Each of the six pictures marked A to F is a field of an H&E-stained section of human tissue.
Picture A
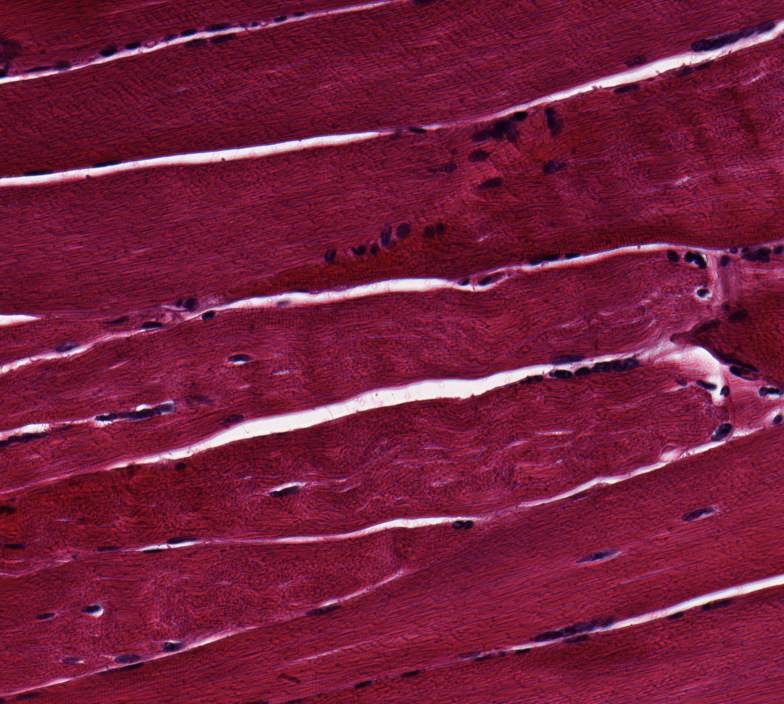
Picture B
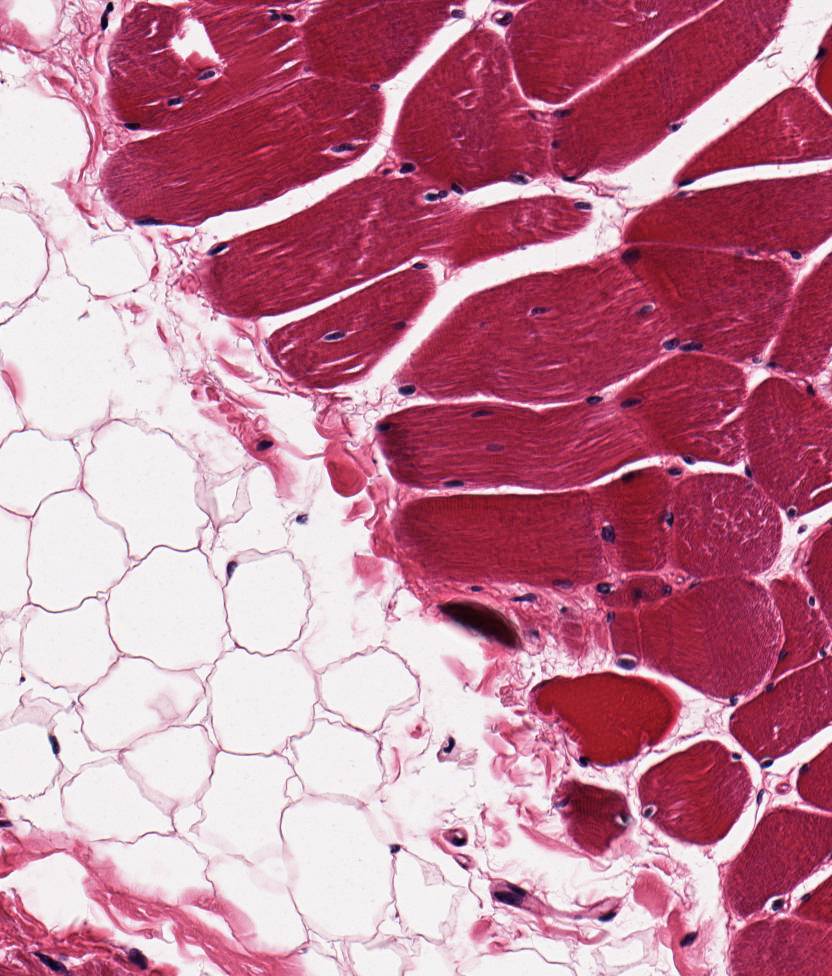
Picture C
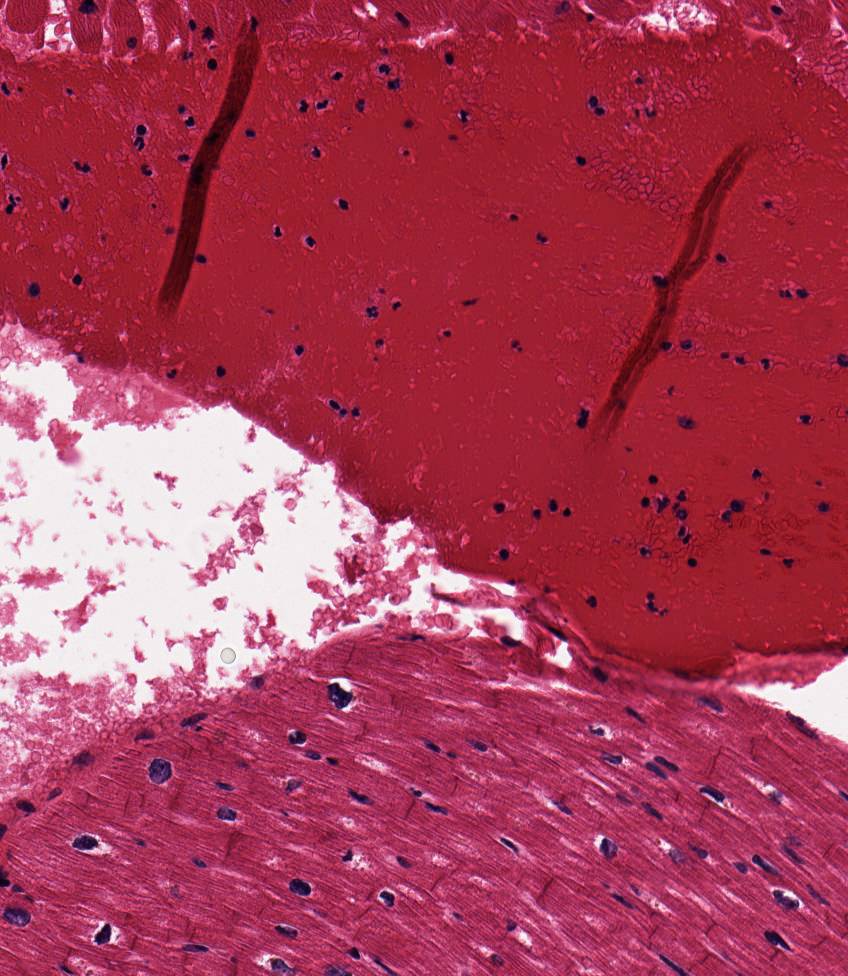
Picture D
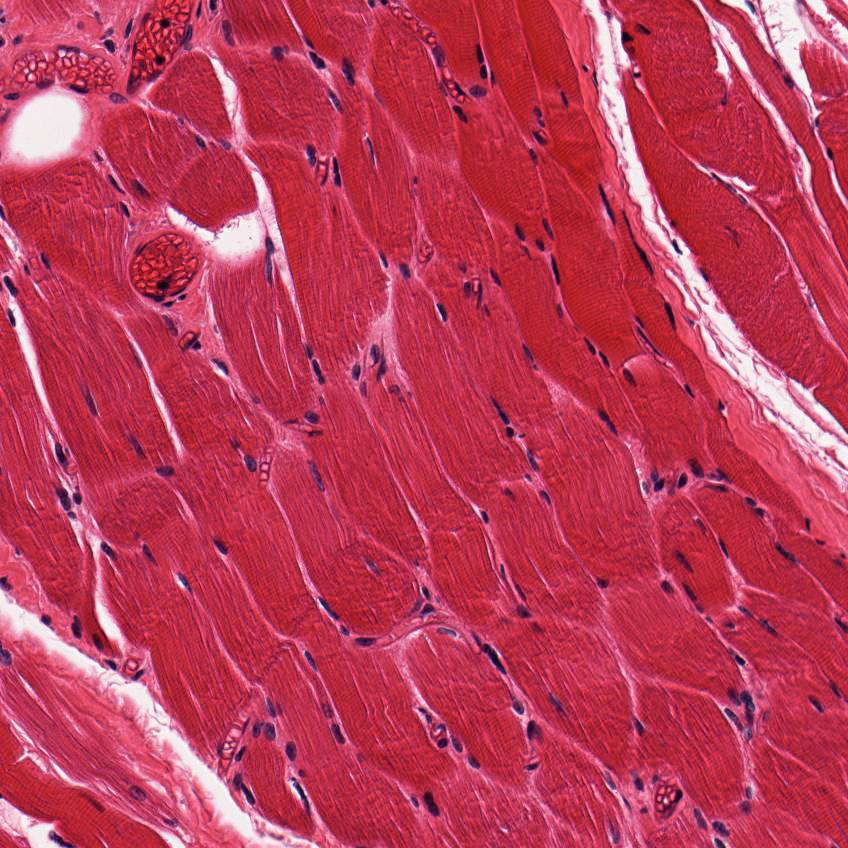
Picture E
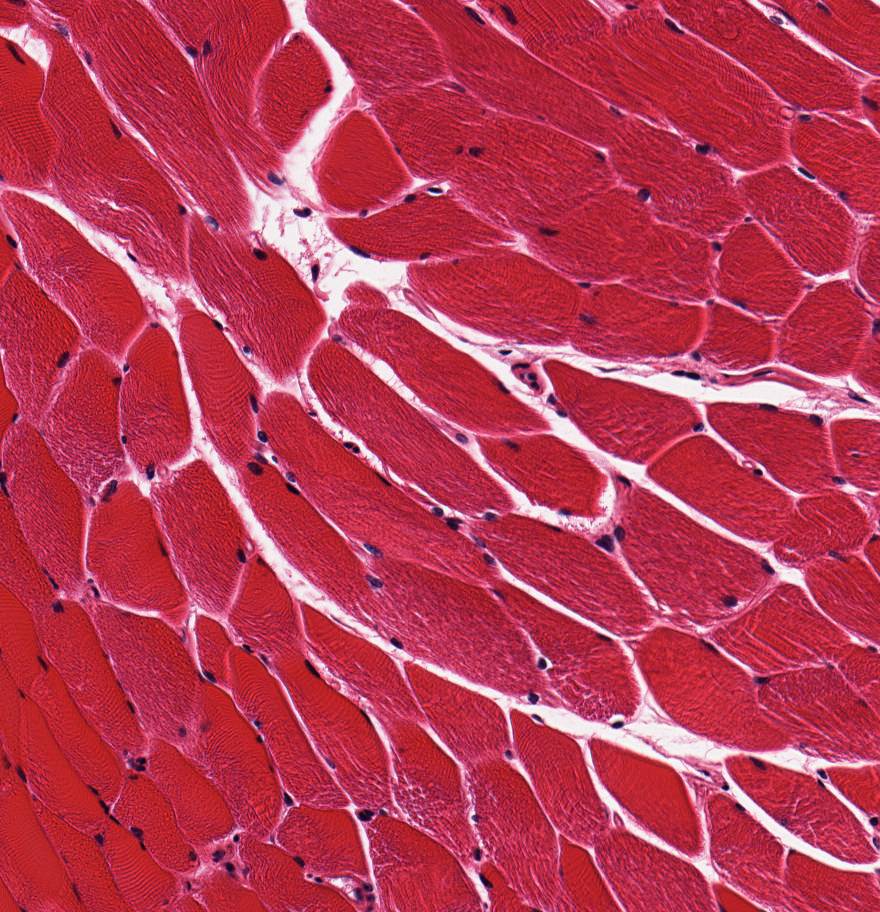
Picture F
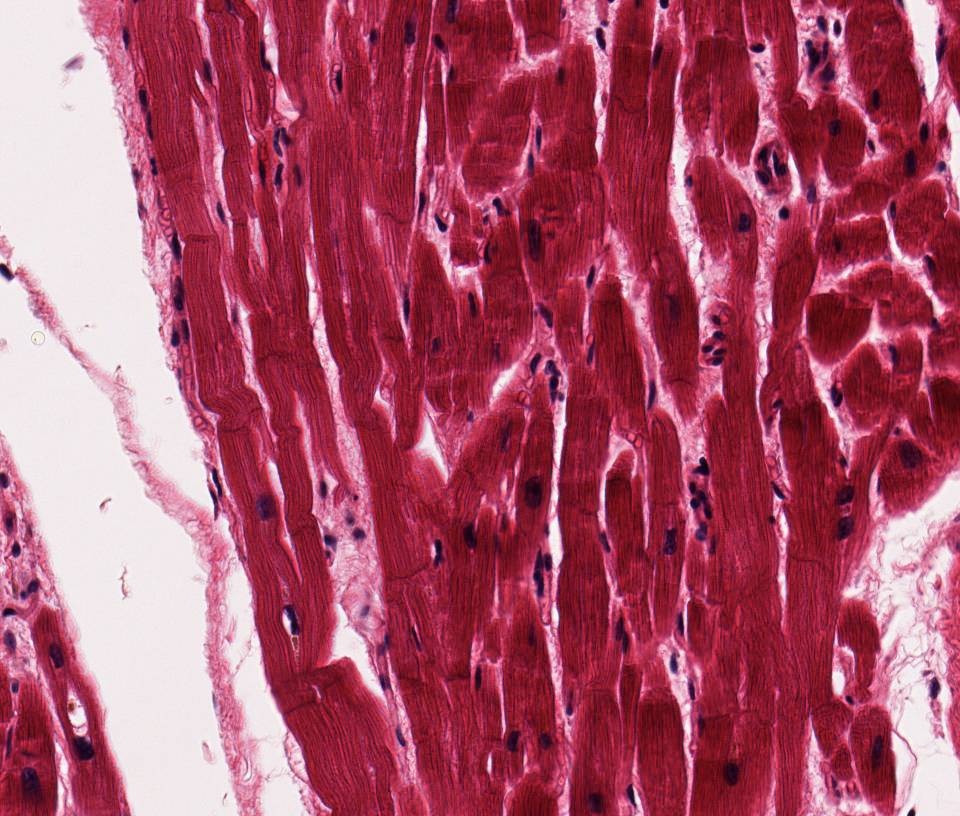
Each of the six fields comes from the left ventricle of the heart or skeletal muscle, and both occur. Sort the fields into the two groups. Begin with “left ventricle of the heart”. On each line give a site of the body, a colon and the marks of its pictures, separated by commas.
left ventricle of the heart: C, F
skeletal muscle: A, B, D, E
